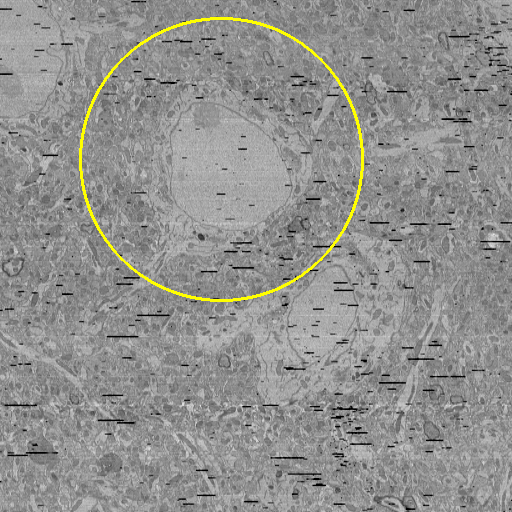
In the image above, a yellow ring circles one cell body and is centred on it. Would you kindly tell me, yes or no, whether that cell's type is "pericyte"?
no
